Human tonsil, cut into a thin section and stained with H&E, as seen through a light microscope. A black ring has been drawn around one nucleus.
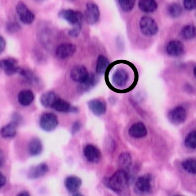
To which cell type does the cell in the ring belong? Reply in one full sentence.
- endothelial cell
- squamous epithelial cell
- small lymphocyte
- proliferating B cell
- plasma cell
The cell type of the cell in the ring is that of a plasma cell.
